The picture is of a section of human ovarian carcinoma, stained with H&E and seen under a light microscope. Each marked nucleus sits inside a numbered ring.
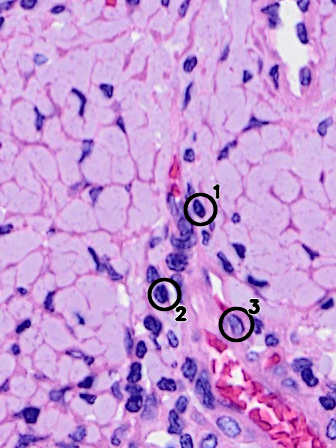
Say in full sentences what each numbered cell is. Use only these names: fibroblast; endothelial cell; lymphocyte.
Cells 1 and 2 are lymphocytes. Cell 3 is an endothelial cell.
